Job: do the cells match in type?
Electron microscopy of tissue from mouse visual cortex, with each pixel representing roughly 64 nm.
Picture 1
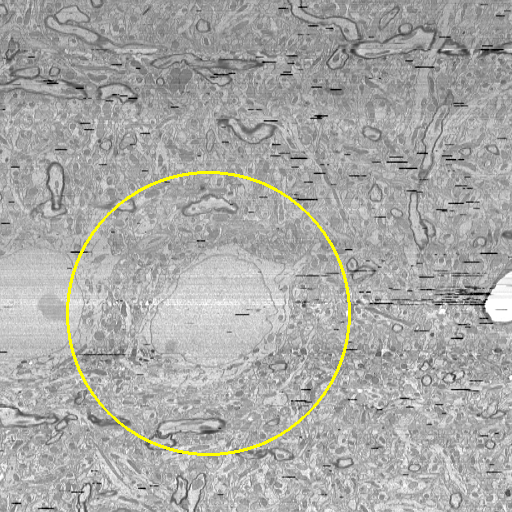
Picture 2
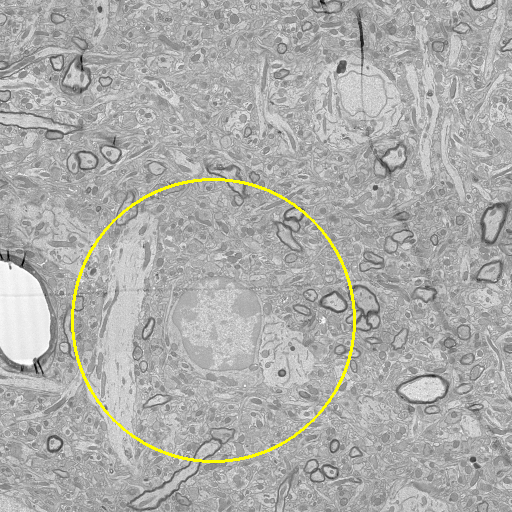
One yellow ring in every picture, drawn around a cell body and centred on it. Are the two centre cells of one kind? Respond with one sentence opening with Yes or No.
No, the ringed cells in the two pictures are of two separate kinds.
